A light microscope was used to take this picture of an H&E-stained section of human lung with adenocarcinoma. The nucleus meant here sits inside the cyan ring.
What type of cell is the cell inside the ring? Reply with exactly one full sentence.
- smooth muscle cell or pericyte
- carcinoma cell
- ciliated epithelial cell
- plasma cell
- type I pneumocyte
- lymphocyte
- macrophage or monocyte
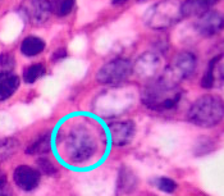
The classification of the cell inside the ring is as a ciliated epithelial cell.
